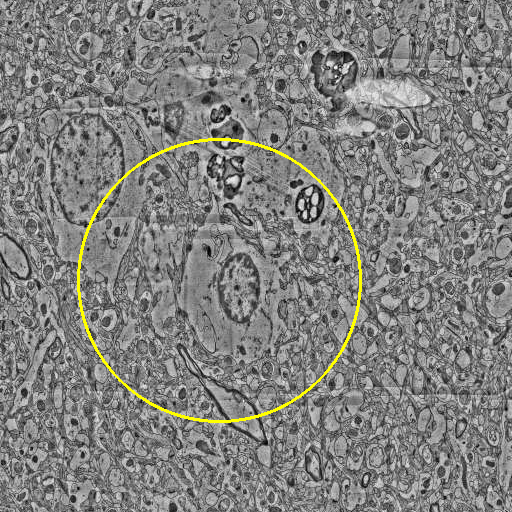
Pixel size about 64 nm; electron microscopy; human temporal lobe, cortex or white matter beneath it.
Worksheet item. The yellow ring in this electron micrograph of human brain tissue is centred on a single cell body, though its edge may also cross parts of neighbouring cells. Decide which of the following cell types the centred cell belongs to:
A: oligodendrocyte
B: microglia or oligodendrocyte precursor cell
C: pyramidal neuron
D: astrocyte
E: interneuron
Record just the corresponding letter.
D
